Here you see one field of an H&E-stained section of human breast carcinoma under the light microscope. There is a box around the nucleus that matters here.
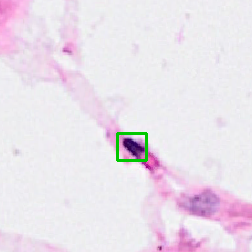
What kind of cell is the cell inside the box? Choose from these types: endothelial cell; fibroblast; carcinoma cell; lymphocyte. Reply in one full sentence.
What the cell inside the box represents is an endothelial cell.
